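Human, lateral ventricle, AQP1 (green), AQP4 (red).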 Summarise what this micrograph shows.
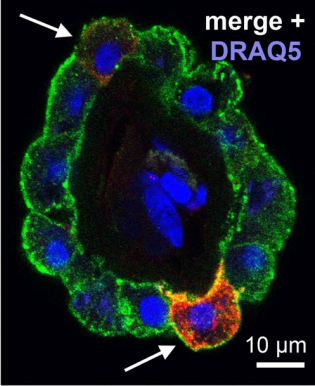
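This is a cross-section through a choroid plexus villus, covered by a single layer of cuboidal epithelial cells around a central core. A green rim runs along the outer free surface of the cell layer and between neighbouring cells. Two cells at the margin show red, one at the bottom strongly filled with red and overlapping with green as yellow-orange, and a smaller one at the upper left more weakly. The dark central core contains a few blue nuclei of its own.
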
